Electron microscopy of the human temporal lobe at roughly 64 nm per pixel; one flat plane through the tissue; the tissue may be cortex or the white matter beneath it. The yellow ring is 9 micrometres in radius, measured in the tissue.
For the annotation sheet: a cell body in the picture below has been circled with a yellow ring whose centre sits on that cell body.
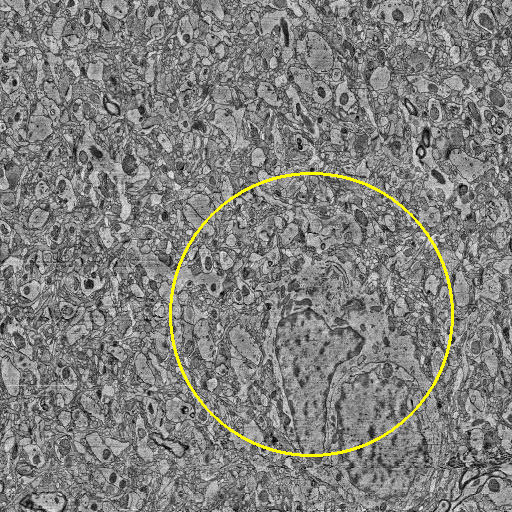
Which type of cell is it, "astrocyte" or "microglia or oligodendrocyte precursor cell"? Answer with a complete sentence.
The circled cell is a microglial cell or oligodendrocyte precursor cell.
